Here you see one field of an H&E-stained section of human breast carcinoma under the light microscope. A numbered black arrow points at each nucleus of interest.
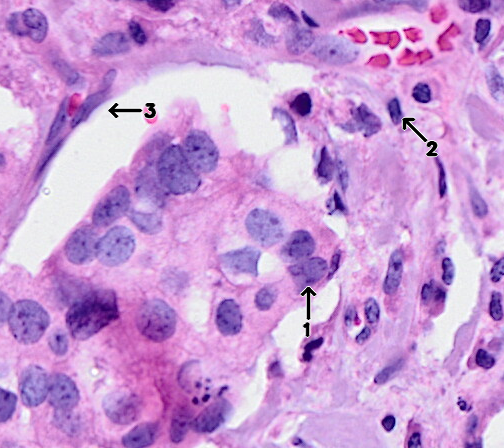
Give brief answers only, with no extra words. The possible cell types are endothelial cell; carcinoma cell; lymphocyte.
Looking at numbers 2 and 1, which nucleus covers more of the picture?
1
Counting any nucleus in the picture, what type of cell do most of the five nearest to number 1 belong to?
carcinoma cell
